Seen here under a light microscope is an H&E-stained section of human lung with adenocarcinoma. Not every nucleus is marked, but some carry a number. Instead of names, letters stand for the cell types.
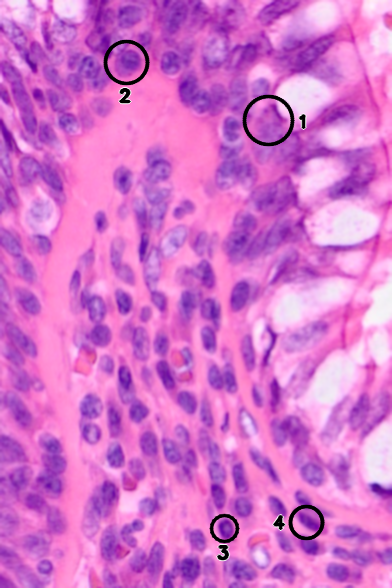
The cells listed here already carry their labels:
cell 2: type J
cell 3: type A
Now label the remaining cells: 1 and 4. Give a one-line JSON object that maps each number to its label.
{"1": "type J", "4": "type A"}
